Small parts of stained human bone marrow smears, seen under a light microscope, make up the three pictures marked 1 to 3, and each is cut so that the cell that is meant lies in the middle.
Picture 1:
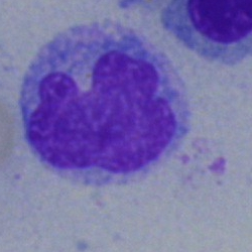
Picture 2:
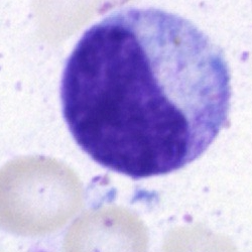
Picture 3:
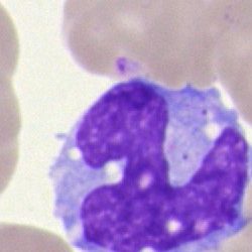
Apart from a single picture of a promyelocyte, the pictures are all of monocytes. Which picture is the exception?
2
